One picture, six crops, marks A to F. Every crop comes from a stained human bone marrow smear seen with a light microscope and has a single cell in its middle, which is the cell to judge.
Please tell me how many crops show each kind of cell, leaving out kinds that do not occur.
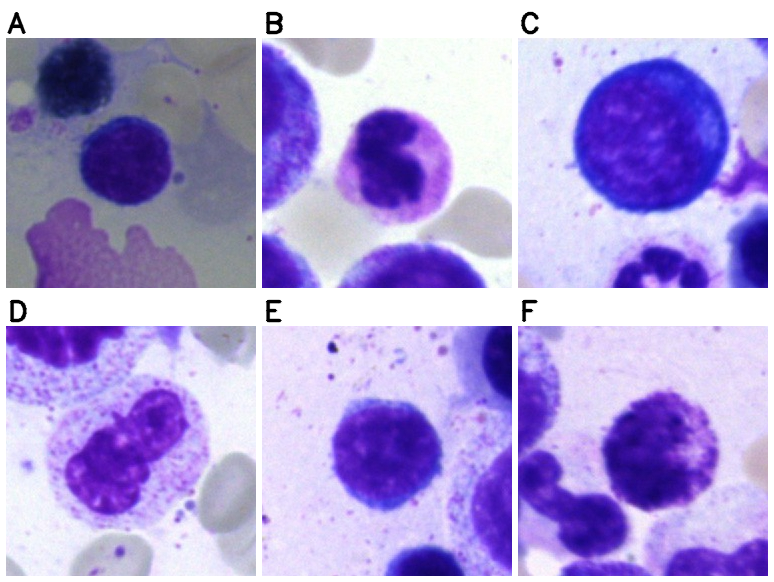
lymphocyte: 2
basophil: 2
proerythroblast: 1
band neutrophil: 1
